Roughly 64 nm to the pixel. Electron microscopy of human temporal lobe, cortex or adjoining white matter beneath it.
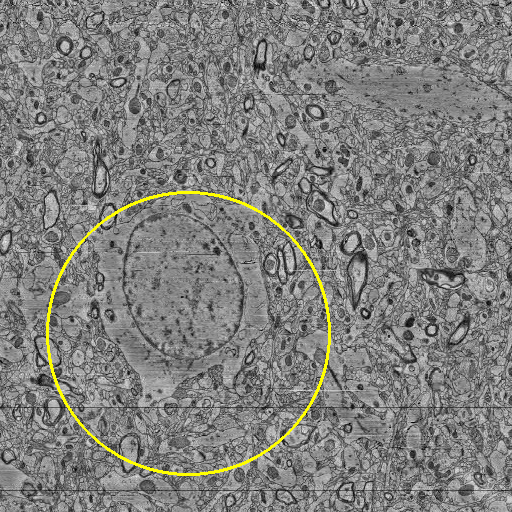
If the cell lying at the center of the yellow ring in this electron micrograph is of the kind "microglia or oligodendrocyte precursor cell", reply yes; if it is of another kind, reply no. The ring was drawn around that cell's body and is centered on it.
no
